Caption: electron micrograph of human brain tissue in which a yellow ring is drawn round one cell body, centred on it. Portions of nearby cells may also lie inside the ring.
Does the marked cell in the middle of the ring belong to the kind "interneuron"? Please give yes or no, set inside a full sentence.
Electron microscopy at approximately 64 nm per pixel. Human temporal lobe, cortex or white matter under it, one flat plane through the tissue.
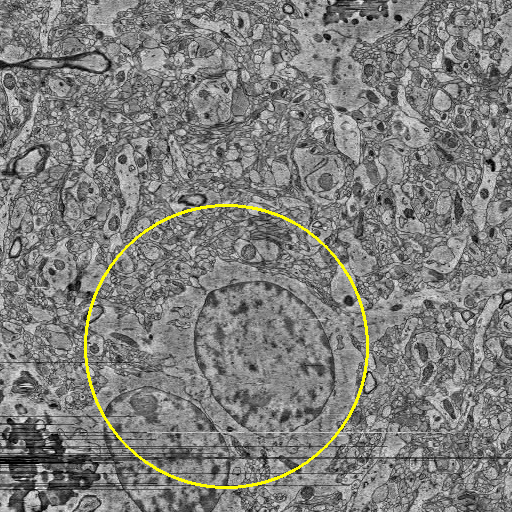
No, the marked cell that the ring is centred on in the picture is of another kind.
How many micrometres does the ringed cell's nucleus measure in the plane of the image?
Roughly 10 by 8 micrometres is the size of the nucleus in this plane.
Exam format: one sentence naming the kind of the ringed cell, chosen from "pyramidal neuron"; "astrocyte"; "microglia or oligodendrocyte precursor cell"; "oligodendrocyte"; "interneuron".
Instead, the cell at the centre of the ring is an astrocyte.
